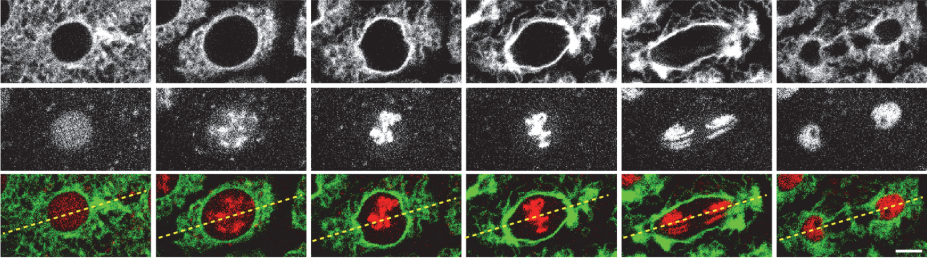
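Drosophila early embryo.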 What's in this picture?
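At first the green network is loose and spread through the cytoplasm around a round, diffusely red nucleus. It then gathers as a thick, bright rim around the nucleus while the red material condenses into threads and then a compact cluster. The green rim becomes oval and elongated along the division axis, brightest at its two ends, and in the elongated stage two separating red bands lie inside it. Finally two small round red nuclei reappear, each surrounded again by a looser green network.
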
